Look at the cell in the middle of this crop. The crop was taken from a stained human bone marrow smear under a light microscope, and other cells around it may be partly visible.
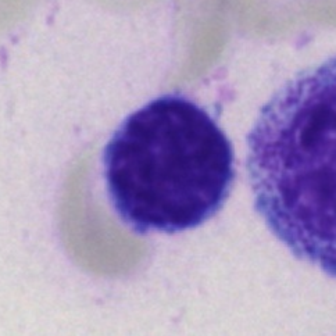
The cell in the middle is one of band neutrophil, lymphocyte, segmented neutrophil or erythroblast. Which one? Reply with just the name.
lymphocyte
